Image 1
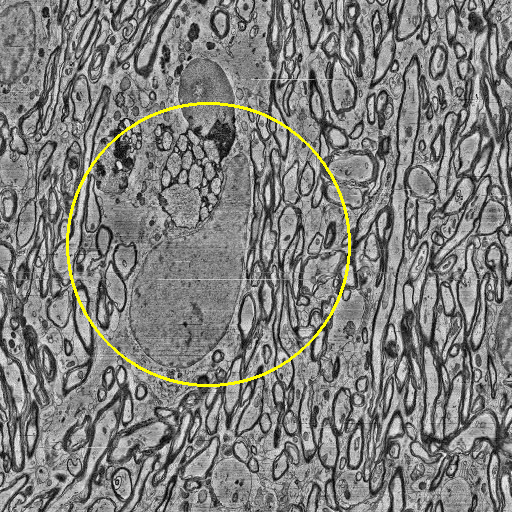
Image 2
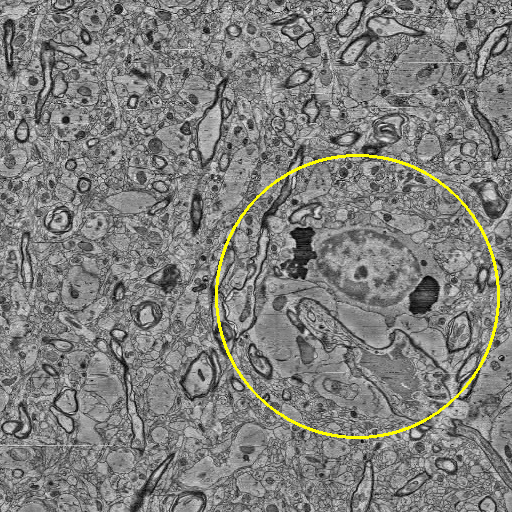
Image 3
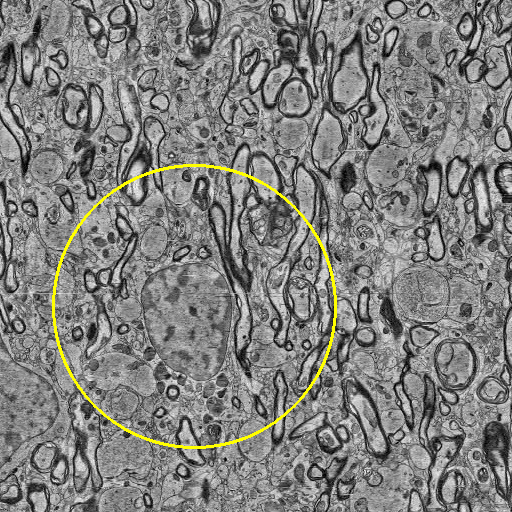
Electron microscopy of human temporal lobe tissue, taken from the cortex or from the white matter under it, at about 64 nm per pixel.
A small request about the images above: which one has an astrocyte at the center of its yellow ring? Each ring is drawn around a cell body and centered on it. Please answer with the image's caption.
Image 1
